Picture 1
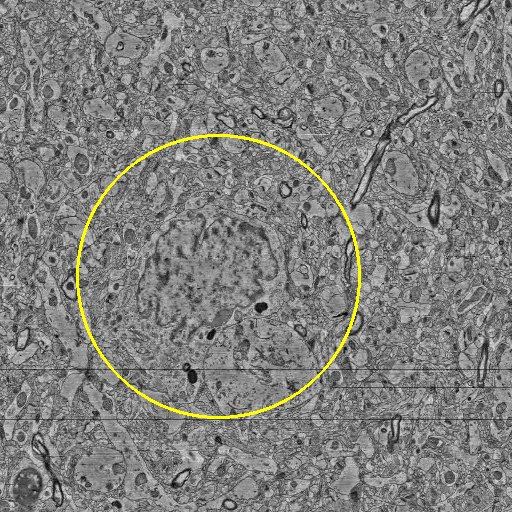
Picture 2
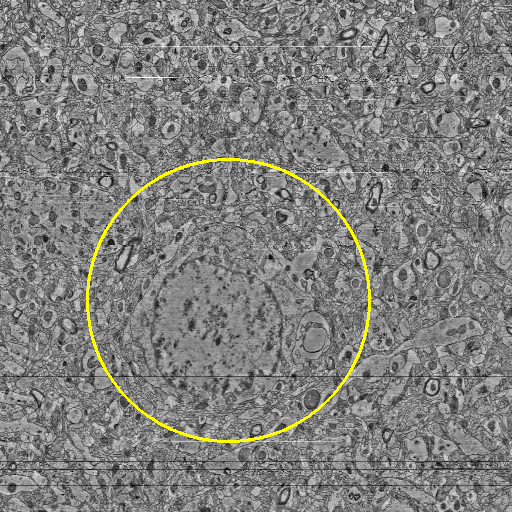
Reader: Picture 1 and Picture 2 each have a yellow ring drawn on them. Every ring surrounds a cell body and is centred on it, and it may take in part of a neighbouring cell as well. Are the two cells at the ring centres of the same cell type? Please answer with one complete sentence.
Yes, both cells are of the same cell type.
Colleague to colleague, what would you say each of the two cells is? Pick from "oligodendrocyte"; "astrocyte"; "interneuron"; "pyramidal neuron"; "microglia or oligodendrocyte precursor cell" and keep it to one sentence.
Each cell, in the first picture and the second, is an interneuron.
